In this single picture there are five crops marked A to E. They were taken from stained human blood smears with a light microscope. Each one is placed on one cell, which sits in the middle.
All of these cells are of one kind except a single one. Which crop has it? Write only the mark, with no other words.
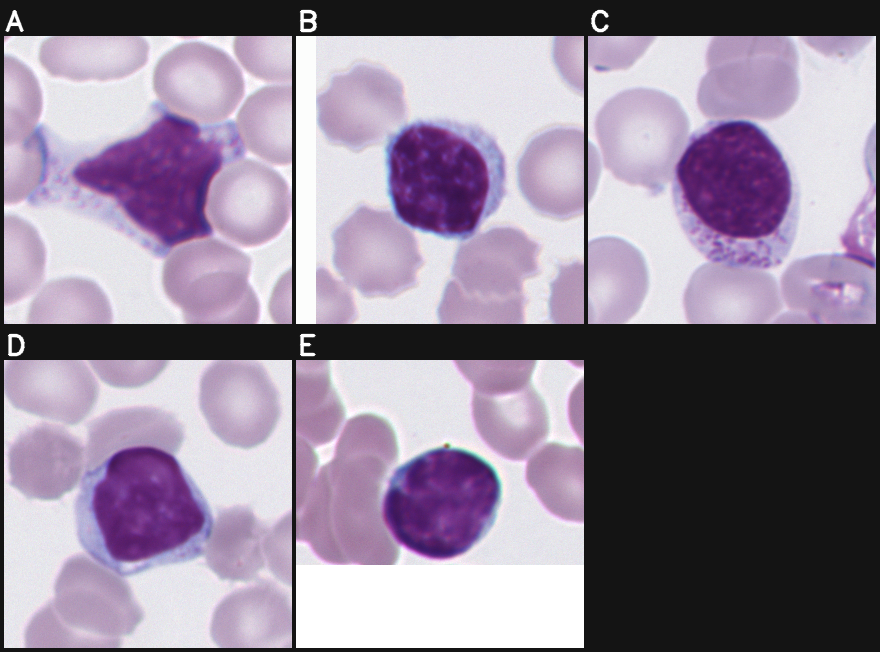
C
